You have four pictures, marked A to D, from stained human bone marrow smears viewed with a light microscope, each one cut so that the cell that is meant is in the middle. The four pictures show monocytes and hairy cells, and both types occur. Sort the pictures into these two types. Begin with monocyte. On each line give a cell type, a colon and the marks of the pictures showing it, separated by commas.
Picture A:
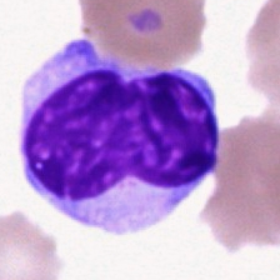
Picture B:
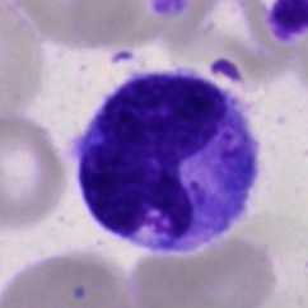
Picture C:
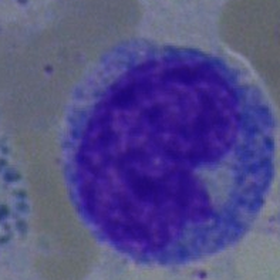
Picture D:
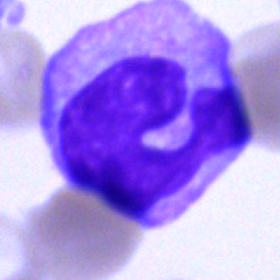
monocyte: B, C, D
hairy cell: A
